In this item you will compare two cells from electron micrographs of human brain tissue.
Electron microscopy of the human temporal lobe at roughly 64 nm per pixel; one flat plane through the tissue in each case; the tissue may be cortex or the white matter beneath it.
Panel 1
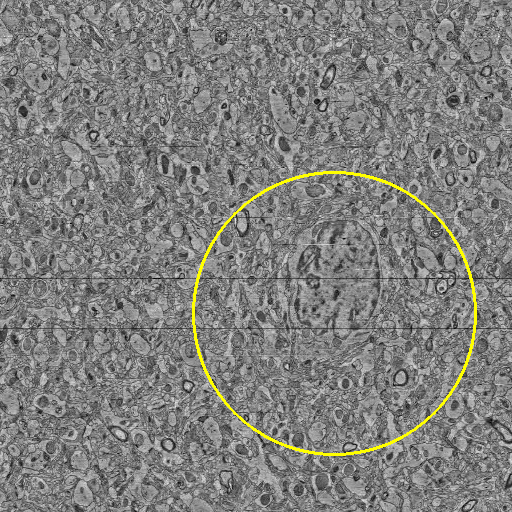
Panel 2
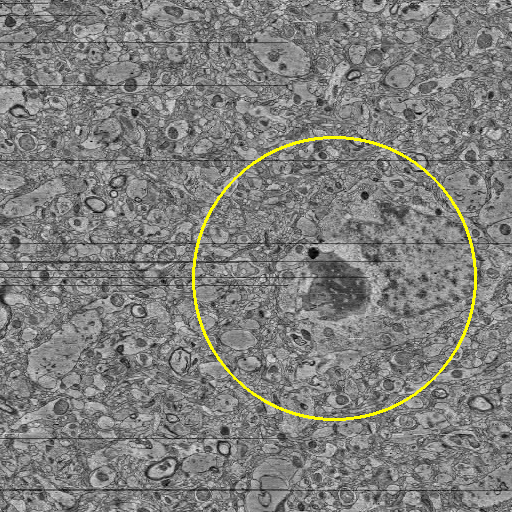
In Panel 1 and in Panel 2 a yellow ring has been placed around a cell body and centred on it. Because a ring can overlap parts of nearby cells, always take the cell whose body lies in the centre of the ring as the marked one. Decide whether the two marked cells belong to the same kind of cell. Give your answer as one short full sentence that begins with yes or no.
No, the two marked cells belong to two kinds of cell.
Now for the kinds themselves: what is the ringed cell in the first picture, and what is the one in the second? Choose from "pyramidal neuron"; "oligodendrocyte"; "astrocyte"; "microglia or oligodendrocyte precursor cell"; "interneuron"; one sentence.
Here the first cell is a microglial cell or oligodendrocyte precursor cell and the second cell is an oligodendrocyte.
